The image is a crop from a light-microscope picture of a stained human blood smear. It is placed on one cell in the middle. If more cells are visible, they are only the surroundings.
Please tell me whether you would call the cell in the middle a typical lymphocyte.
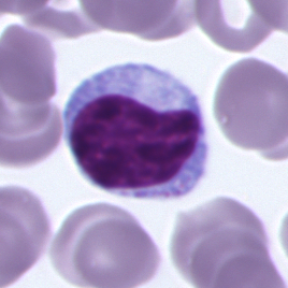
yes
